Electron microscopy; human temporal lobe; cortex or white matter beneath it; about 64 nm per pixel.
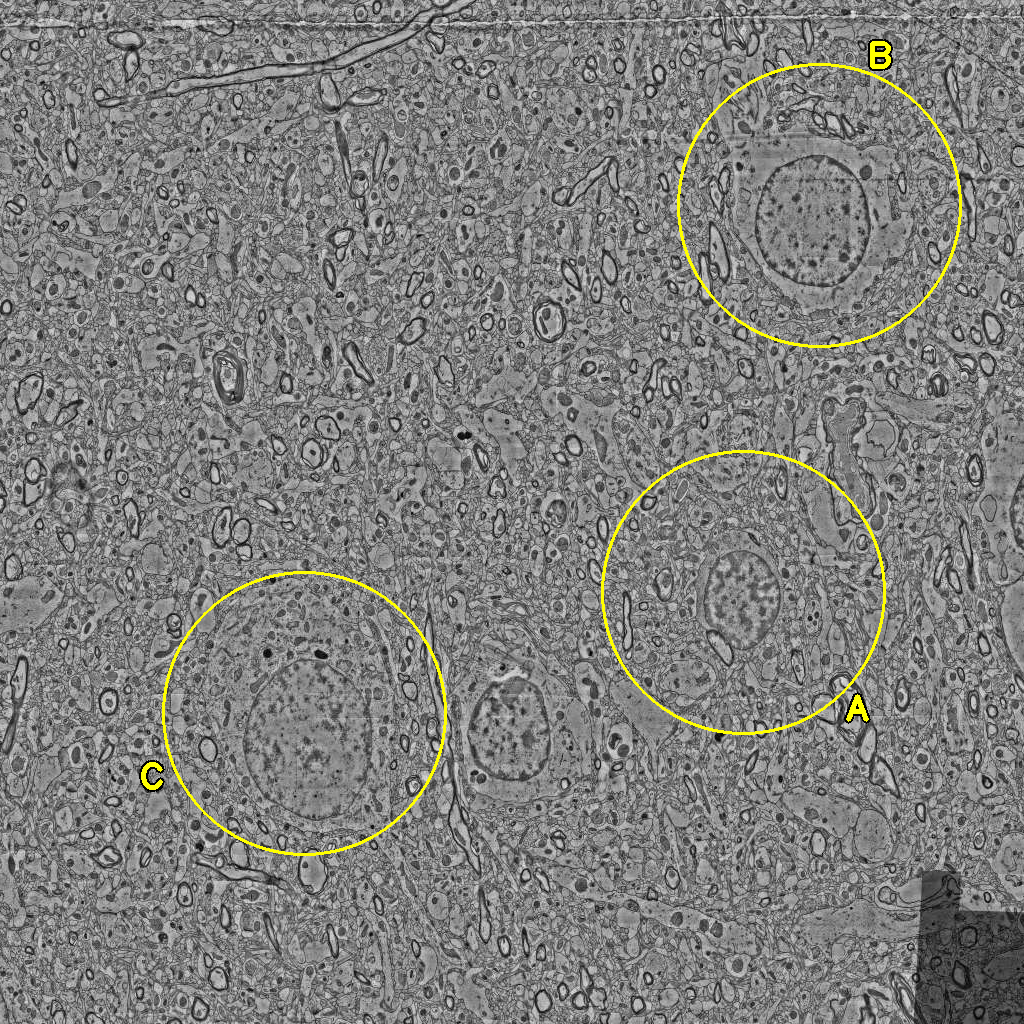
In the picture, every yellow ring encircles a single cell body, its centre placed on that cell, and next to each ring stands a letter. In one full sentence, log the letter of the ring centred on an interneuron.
The ring with the requested cell at its centre bears the letter C.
